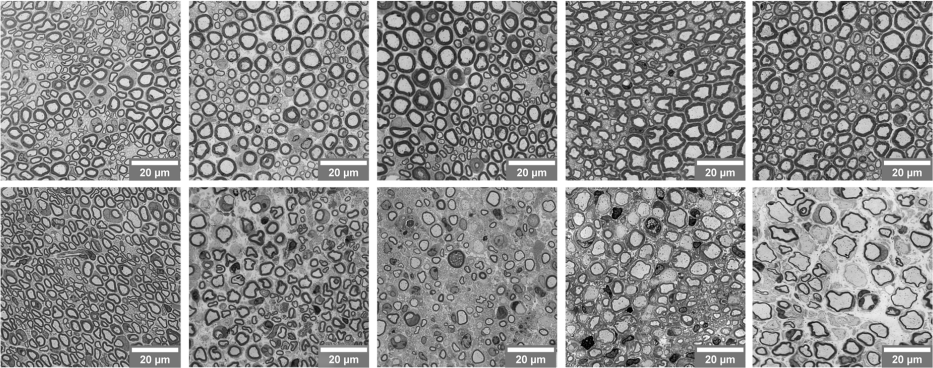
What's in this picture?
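In the top row the fibres are densely packed, each axon with a continuous dark myelin ring and little space between them. In the bottom row, moving from left to right, fewer axons carry dark myelin rings, many pale axon profiles lack myelin, and dark clumps of debris appear among the fibres.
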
